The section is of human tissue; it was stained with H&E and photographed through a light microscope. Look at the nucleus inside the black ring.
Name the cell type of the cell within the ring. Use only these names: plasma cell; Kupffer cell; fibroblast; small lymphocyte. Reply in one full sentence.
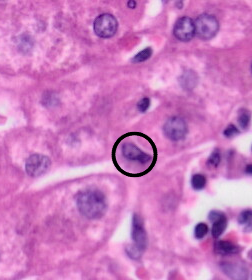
This is a Kupffer cell.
